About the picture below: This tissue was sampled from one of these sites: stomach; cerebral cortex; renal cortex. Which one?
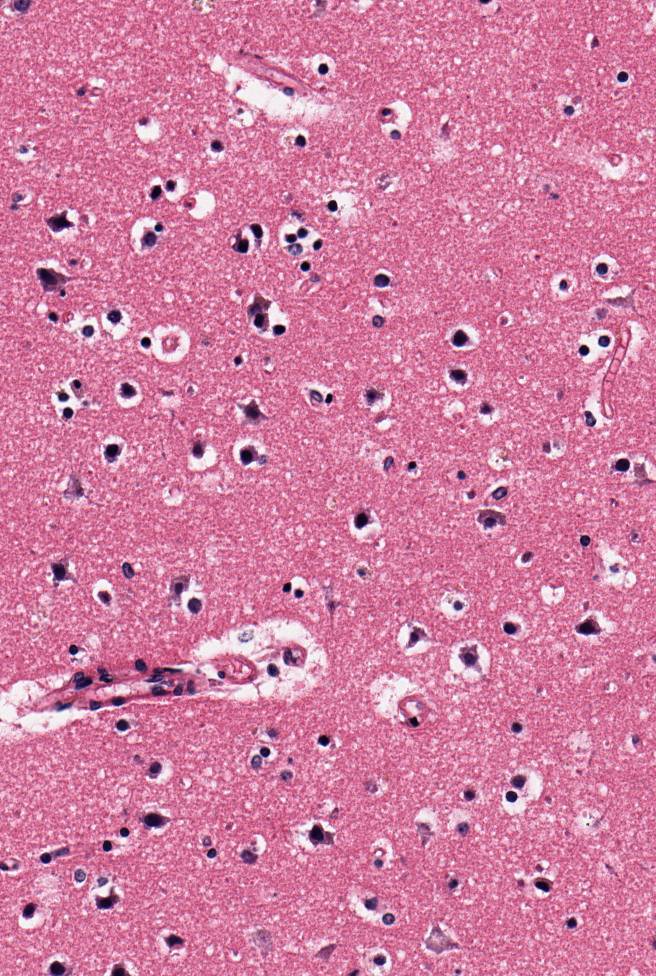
cerebral cortex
